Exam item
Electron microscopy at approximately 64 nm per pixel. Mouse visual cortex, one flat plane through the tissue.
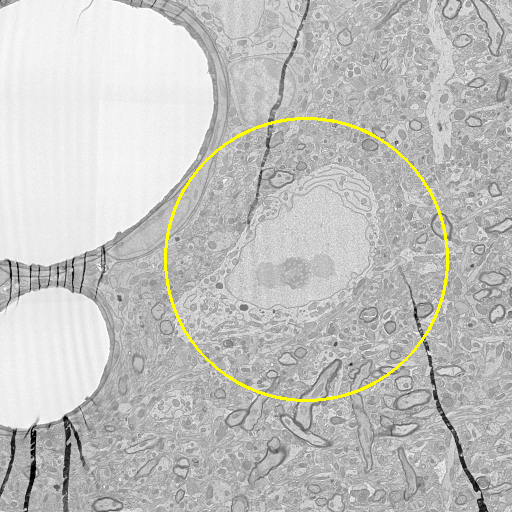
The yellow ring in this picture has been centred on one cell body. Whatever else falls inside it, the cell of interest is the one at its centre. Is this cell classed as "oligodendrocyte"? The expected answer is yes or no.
no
